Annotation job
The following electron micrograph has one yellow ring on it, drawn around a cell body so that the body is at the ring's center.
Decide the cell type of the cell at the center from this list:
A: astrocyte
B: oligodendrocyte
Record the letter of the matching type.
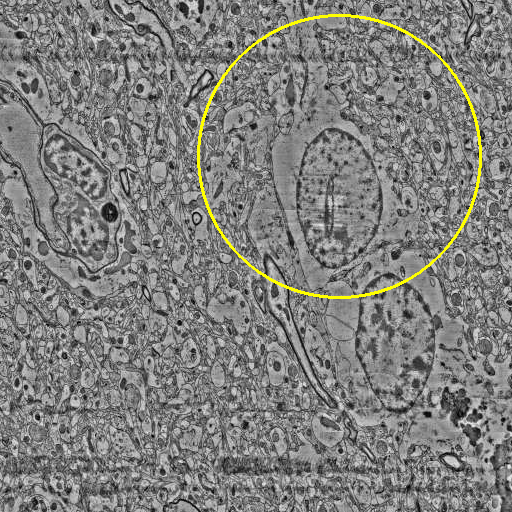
A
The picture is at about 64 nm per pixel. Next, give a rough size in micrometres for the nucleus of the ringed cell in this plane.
Roughly 9 by 5 micrometres; in this plane, clearly longer than it is wide.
